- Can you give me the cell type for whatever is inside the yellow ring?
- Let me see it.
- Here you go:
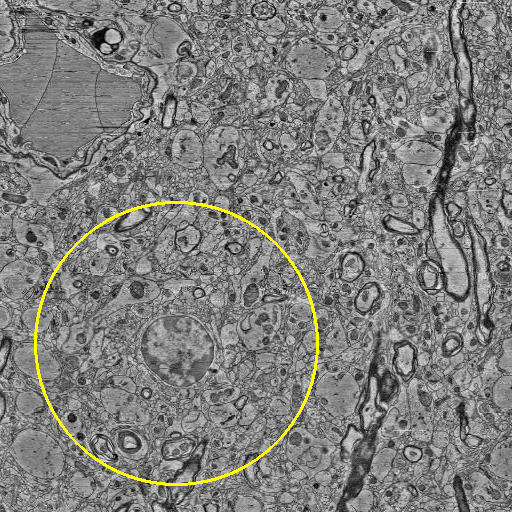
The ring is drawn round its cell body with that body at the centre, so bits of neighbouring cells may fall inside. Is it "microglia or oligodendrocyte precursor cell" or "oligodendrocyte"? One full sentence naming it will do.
The cell body in the middle of the ring in this picture belongs to a microglial cell or oligodendrocyte precursor cell.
